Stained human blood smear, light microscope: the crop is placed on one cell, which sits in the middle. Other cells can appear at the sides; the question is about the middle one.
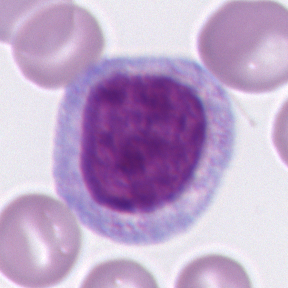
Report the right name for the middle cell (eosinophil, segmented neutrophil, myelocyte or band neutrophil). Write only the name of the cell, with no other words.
myelocyte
